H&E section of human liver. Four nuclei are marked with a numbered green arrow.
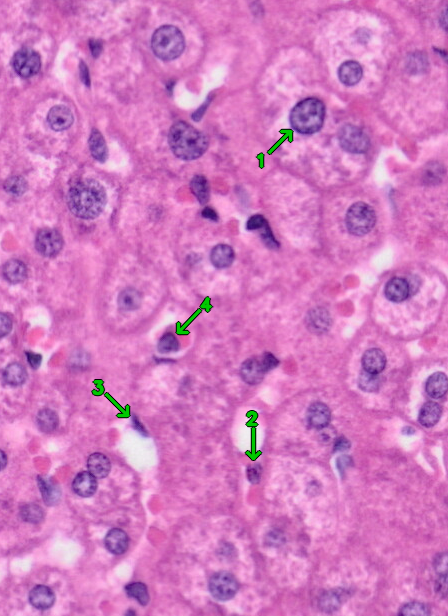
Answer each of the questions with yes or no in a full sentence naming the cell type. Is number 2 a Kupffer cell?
No, cell 2 does not represent a Kupffer cell; it represents an endothelial cell.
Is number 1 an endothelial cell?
No, cell 1, which is a hepatocyte, is not an endothelial cell.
